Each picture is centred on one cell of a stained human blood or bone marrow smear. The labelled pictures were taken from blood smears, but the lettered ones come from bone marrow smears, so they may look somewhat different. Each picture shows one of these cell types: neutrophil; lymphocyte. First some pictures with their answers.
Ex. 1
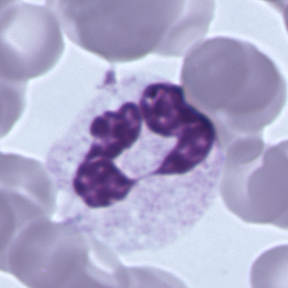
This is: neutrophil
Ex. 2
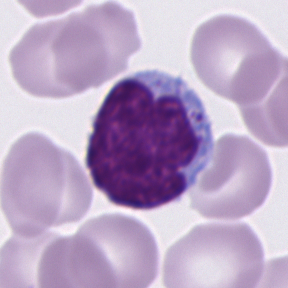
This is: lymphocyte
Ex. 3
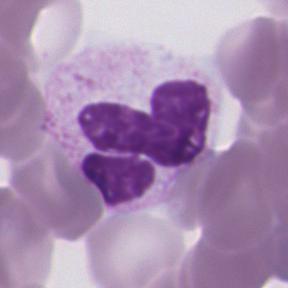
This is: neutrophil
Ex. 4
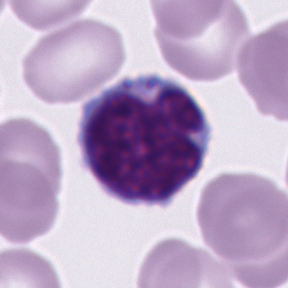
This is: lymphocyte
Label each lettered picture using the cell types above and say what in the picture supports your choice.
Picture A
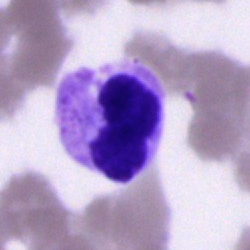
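Label: neutrophil. Fine purple granules are scattered through the cytoplasm.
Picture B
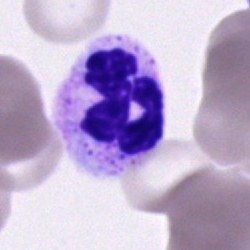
Label: neutrophil. Plentiful pale lilac cytoplasm surrounds the nucleus.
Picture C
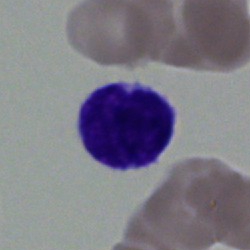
Label: lymphocyte. The nucleus fills almost the whole cell.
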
